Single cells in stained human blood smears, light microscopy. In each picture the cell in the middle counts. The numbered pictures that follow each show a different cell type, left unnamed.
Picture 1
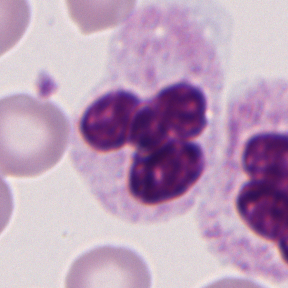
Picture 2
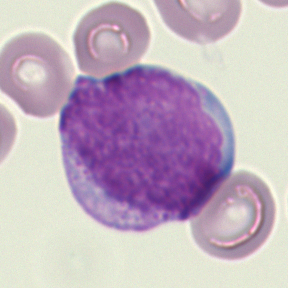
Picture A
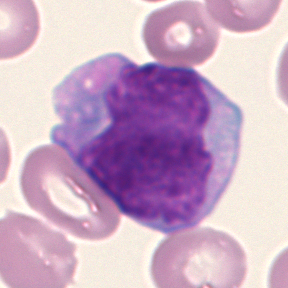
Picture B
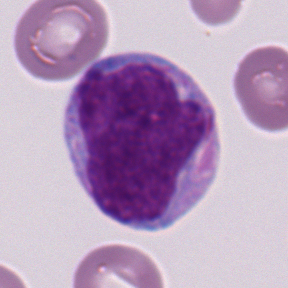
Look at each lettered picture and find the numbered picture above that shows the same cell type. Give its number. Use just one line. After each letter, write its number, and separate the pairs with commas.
A 2, B 2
